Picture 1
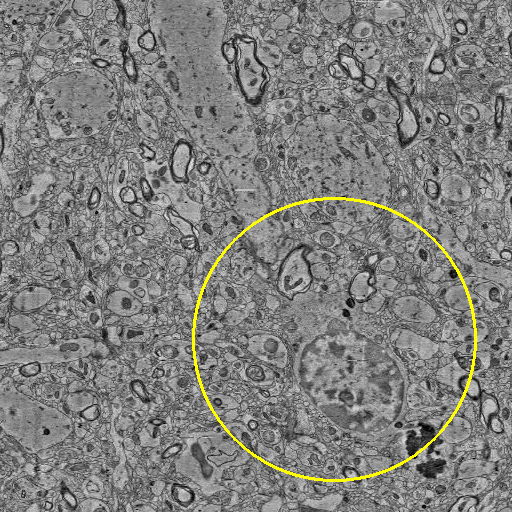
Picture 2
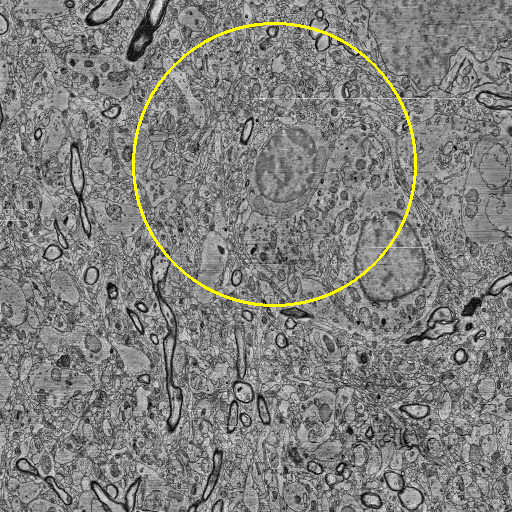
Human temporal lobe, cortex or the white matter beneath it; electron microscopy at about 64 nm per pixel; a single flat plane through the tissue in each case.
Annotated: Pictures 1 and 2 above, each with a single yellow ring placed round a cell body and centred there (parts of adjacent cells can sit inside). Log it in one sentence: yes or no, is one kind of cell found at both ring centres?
Yes, the ring centres of the two pictures hold cells of one kind.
